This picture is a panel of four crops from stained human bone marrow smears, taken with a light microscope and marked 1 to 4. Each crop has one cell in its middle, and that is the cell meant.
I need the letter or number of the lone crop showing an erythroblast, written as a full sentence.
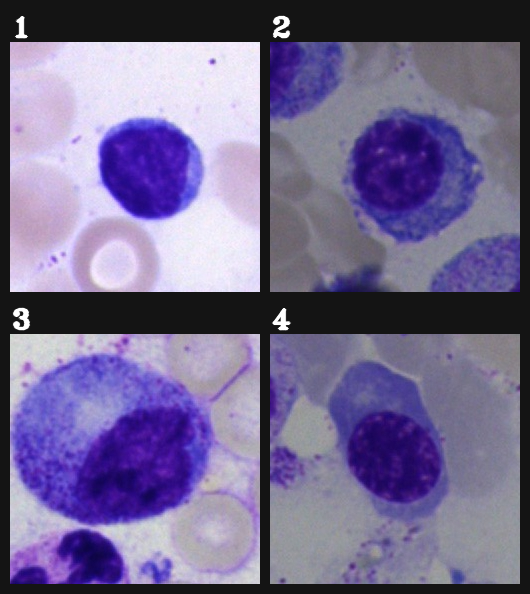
Of the crops given, an erythroblast is found in crop 4.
